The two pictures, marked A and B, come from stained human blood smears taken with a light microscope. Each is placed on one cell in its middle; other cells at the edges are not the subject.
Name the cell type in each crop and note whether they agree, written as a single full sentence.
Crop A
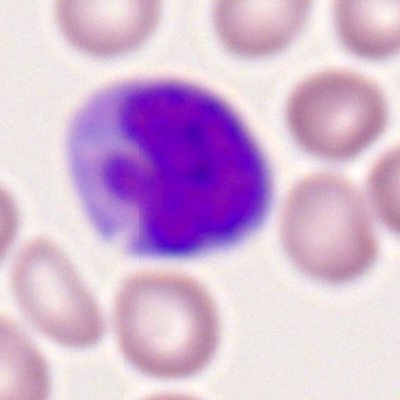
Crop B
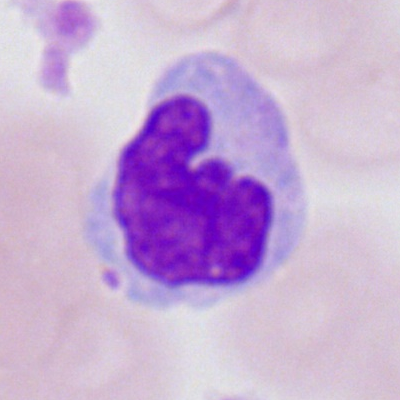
Yes, the first and the second crop both show monocytes.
